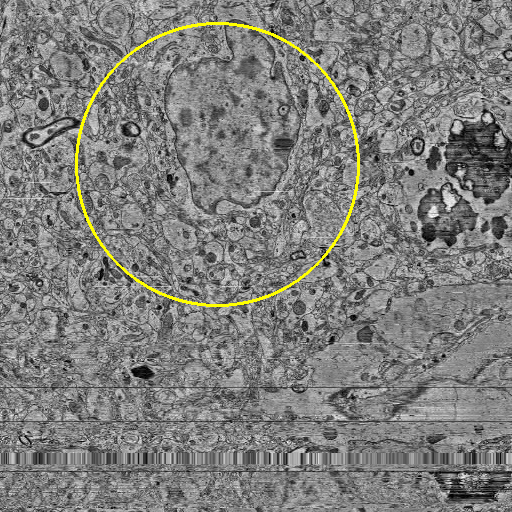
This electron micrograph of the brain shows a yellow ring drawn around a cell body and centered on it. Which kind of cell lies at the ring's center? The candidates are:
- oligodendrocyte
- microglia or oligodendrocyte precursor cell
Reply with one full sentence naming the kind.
The cell lying at the ring's center in this micrograph is a microglial cell or oligodendrocyte precursor cell.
